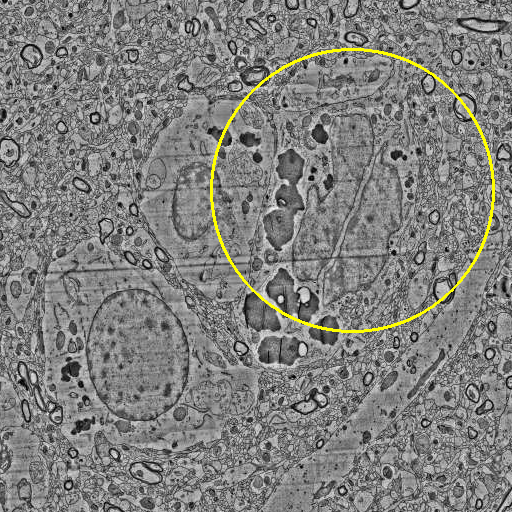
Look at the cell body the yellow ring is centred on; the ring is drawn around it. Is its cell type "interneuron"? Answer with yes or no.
Yes, that is its cell type.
